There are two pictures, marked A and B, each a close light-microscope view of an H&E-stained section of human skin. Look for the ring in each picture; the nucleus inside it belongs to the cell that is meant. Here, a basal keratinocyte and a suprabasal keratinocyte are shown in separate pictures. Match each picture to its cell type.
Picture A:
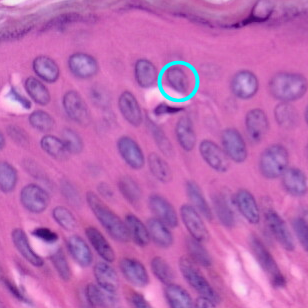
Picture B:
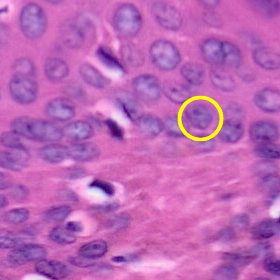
A: suprabasal keratinocyte
B: basal keratinocyte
